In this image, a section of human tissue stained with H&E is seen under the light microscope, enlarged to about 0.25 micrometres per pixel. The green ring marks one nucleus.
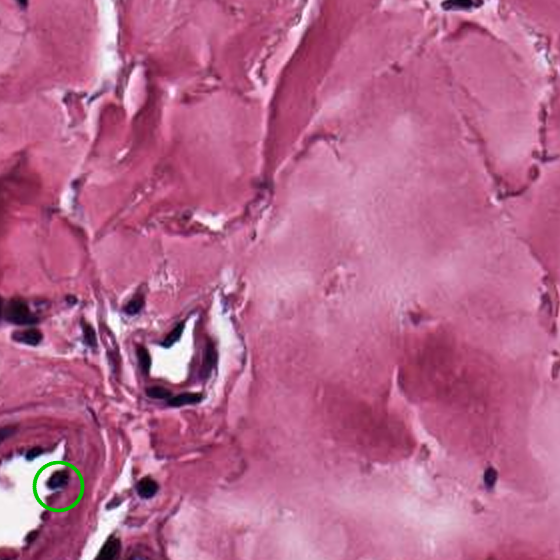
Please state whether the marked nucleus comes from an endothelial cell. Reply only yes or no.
yes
